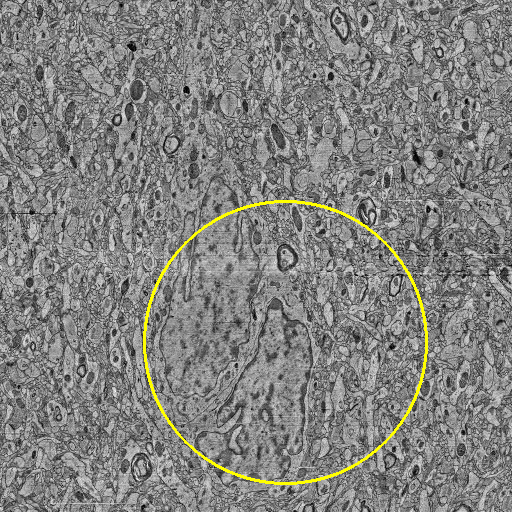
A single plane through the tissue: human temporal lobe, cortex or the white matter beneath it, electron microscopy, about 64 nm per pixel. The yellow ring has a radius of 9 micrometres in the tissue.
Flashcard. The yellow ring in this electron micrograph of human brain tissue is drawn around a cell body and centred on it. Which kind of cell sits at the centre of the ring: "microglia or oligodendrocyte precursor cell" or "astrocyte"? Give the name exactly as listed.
microglia or oligodendrocyte precursor cell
